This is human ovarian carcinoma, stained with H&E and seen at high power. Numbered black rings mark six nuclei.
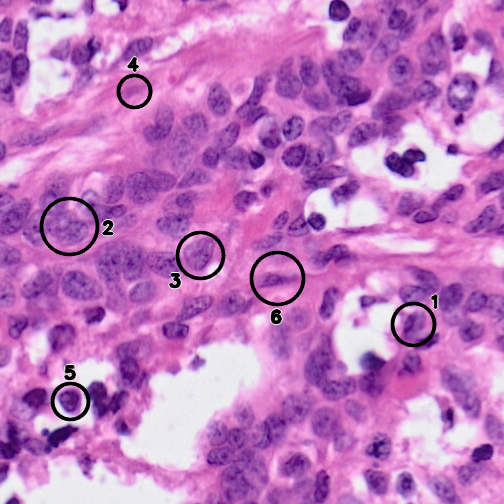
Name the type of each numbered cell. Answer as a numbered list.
1. carcinoma cell
2. carcinoma cell
3. carcinoma cell
4. fibroblast
5. carcinoma cell
6. endothelial cell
